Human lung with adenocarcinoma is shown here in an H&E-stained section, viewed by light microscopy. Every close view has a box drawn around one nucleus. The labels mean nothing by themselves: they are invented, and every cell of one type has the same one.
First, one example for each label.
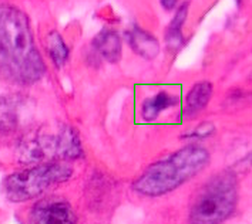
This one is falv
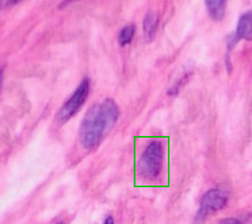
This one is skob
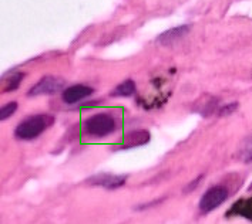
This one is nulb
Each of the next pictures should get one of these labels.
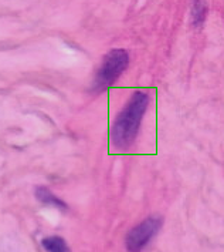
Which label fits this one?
skob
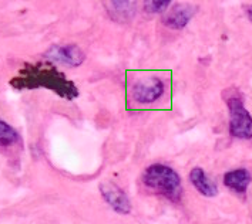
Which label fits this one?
nulb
